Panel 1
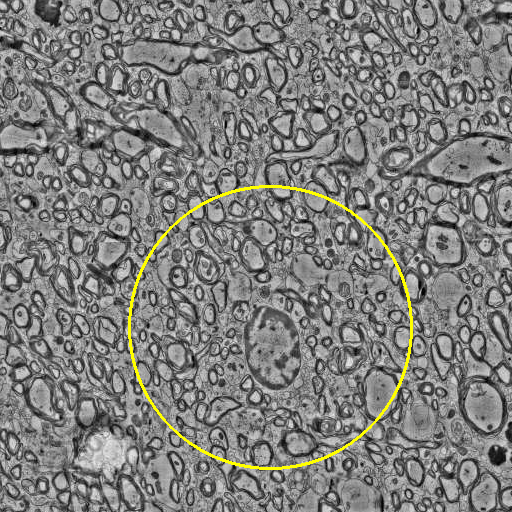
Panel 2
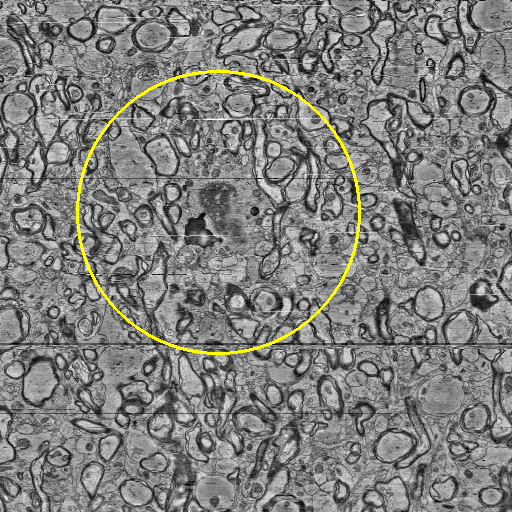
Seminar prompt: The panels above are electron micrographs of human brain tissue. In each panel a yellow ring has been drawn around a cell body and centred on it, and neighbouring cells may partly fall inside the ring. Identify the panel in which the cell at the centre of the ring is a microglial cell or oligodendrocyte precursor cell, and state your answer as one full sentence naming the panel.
Panel 1 has it at the centre of its ring.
